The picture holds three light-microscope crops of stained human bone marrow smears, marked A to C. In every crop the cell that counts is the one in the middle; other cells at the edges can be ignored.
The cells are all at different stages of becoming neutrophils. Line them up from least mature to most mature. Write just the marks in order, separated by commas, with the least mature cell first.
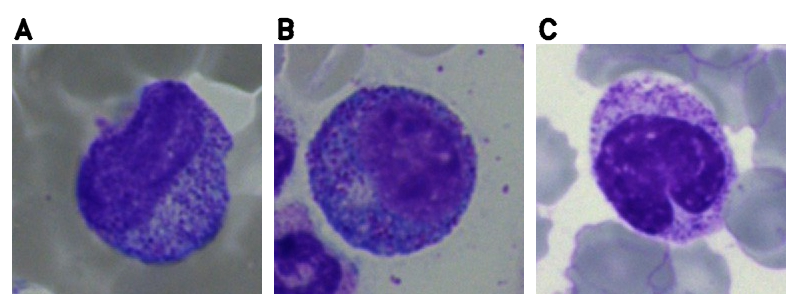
B, A, C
